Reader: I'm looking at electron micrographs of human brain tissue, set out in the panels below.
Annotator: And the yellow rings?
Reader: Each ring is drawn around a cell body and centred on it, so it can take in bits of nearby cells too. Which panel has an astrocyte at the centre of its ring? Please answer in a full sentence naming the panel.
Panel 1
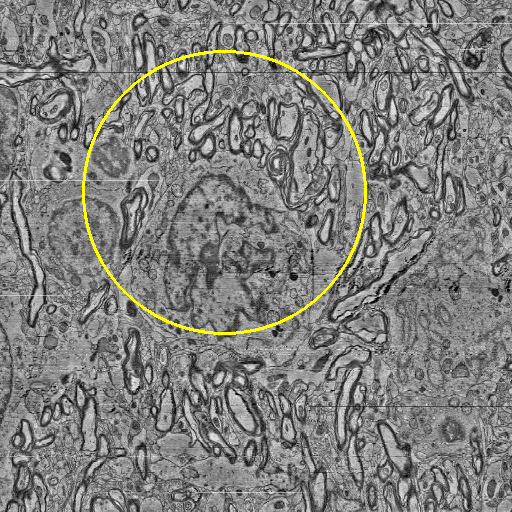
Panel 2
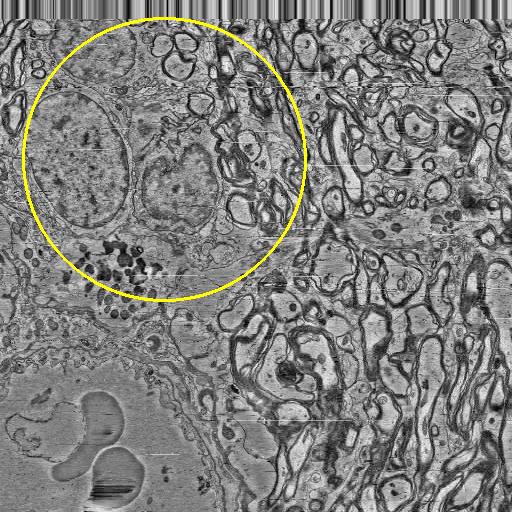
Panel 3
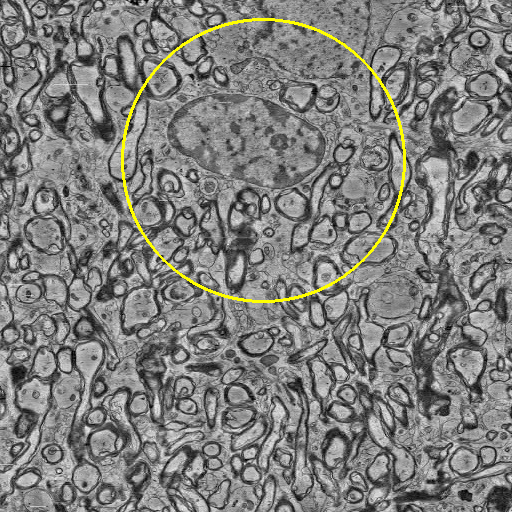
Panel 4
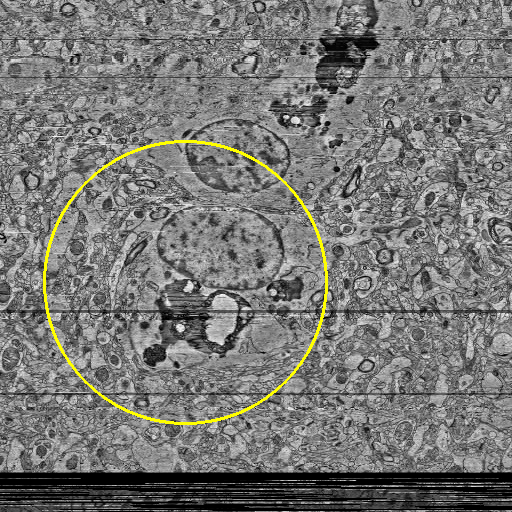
Panel 4 has it at the centre of its ring.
